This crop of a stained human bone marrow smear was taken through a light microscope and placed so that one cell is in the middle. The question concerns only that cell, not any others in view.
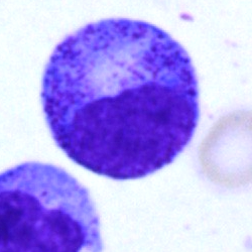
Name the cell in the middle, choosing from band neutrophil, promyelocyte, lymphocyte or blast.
promyelocyte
